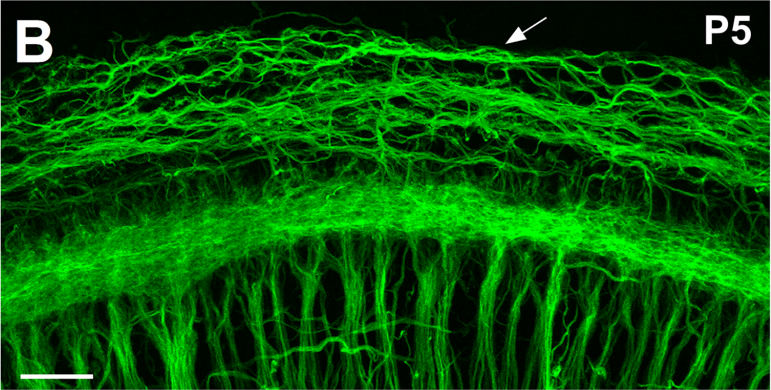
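In the lower part, many parallel radial fiber bundles run upward at regular intervals and join a dense, bright band of fibers running along the spiral. Above this, the outer spiral bundles, which would normally form smooth parallel tracts, are disorganized: individual fibers are wavy, branch and cross one another in an irregular meshwork, and some stray between the bands. A few fibers also run obliquely among the radial bundles.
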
